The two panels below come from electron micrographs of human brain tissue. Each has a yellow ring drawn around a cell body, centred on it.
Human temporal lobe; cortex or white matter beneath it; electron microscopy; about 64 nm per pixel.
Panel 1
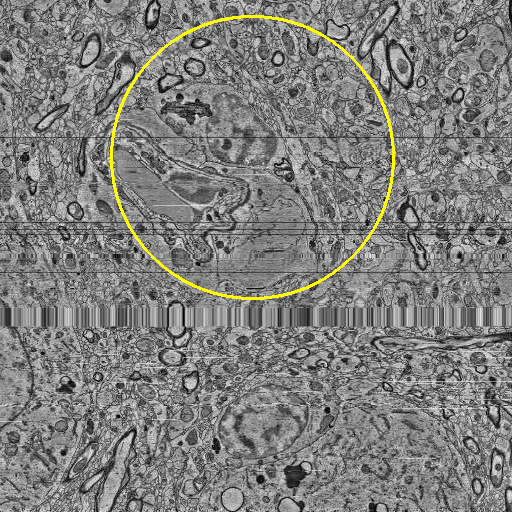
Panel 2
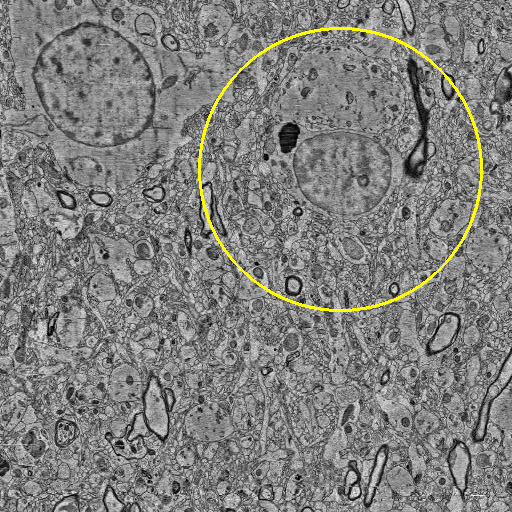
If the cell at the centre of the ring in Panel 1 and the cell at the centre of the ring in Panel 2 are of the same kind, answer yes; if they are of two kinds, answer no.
yes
